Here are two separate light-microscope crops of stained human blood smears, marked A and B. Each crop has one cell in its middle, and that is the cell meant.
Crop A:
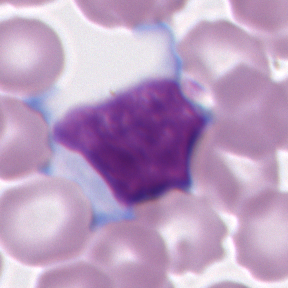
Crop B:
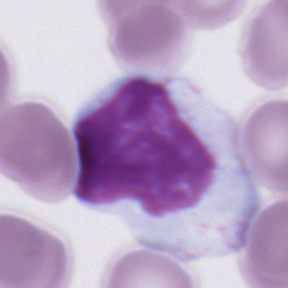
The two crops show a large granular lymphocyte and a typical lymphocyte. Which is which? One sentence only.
Crop A has a typical lymphocyte at its centre, and crop B has a large granular lymphocyte.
